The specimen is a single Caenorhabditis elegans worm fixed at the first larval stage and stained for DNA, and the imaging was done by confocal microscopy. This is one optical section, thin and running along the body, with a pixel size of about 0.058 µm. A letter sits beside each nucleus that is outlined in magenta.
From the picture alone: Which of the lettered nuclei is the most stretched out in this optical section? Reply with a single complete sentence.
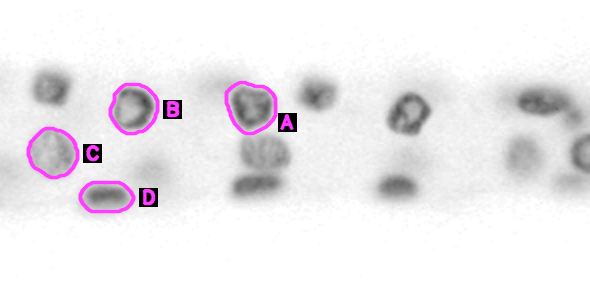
The most elongated nucleus is D.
